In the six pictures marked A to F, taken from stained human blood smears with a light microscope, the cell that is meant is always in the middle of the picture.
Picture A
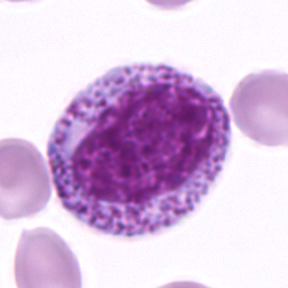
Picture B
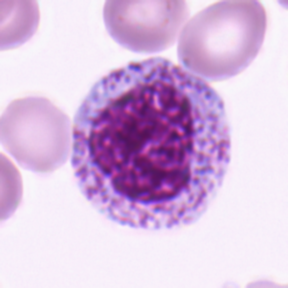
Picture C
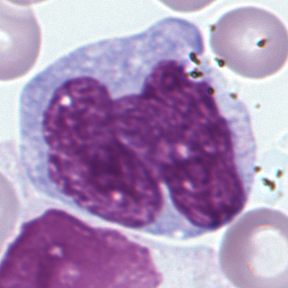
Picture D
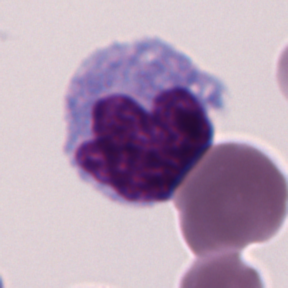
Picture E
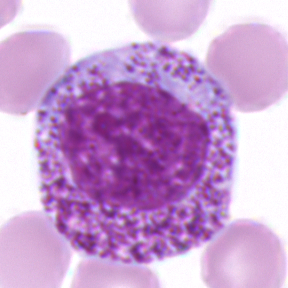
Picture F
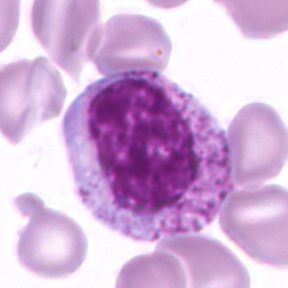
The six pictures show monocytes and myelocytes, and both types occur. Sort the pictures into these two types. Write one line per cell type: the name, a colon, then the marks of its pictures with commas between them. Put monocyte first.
monocyte: C, D
myelocyte: A, B, E, F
